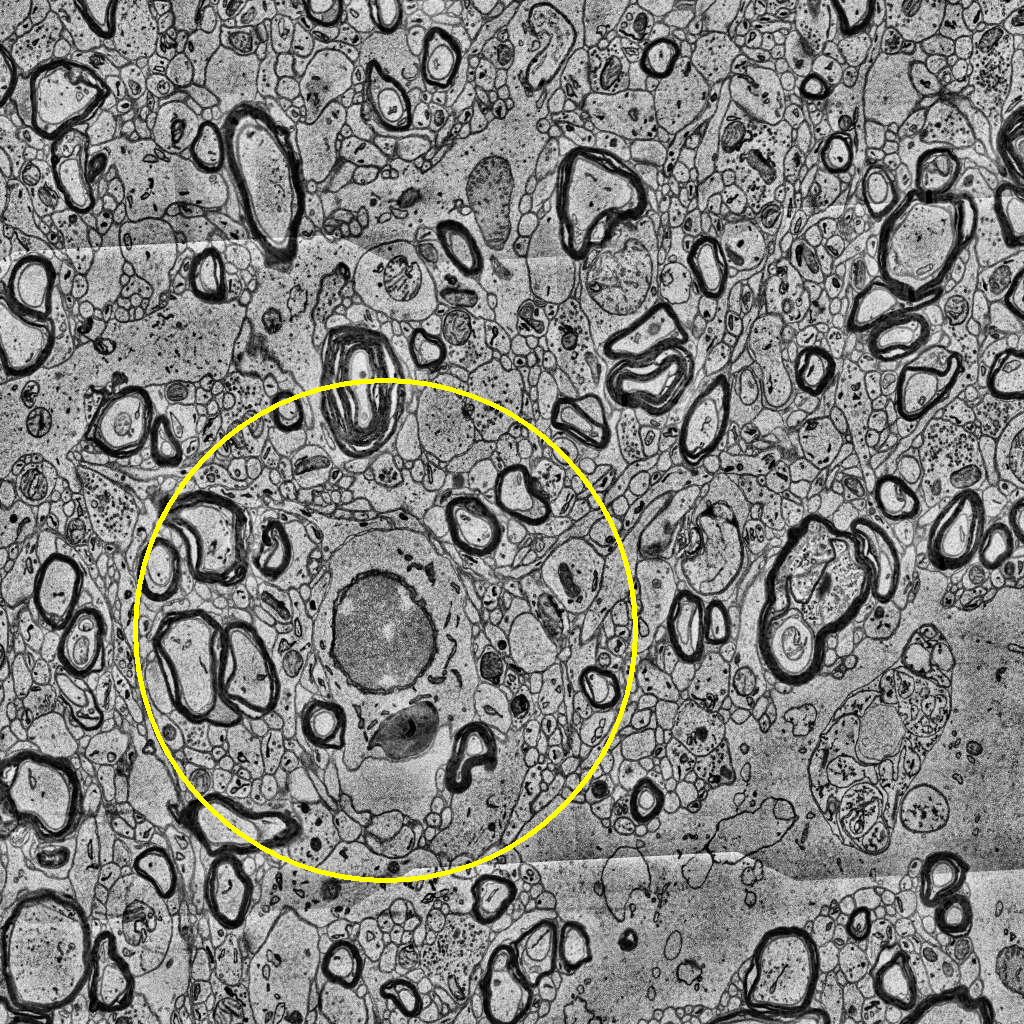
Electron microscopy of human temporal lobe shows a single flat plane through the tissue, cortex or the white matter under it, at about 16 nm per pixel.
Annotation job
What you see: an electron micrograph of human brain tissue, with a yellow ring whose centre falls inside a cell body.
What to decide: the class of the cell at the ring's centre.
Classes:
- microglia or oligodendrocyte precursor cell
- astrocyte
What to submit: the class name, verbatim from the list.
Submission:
microglia or oligodendrocyte precursor cell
